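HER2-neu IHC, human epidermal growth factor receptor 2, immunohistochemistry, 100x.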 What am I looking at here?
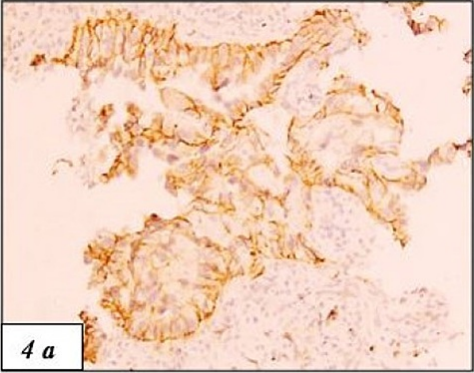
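Tumour cells in glandular and papillary clusters show strong, continuous brown staining of their cell membranes, outlining each cell in a honeycomb pattern. The cytoplasm is pale and the nuclei are blue and round to oval. The clusters lie in a loose, pale stroma with scattered blue nuclei that is not stained brown.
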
